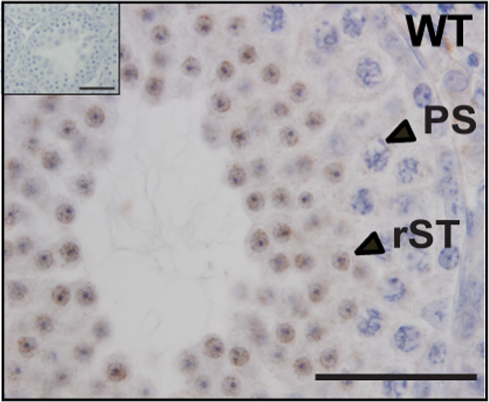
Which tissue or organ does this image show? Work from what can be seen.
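Testis. A tubule in cross-section with a central lumen lined by layered round germ cells.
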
